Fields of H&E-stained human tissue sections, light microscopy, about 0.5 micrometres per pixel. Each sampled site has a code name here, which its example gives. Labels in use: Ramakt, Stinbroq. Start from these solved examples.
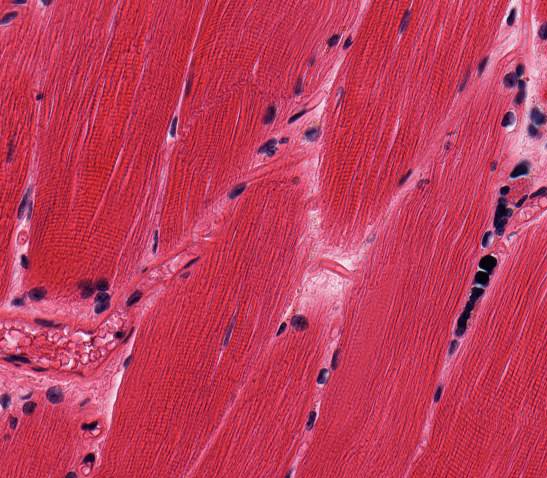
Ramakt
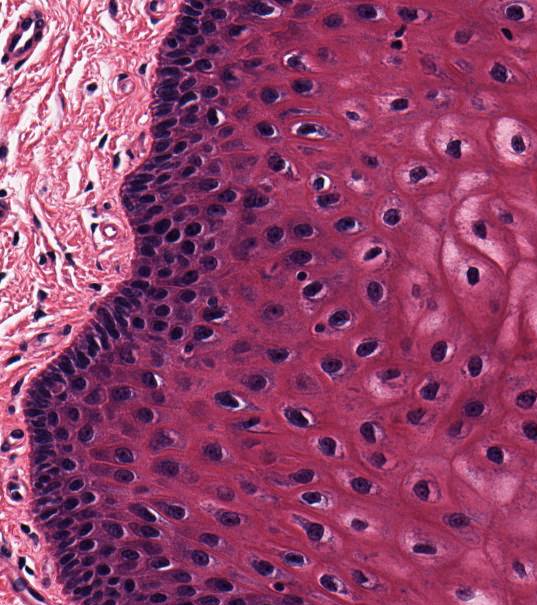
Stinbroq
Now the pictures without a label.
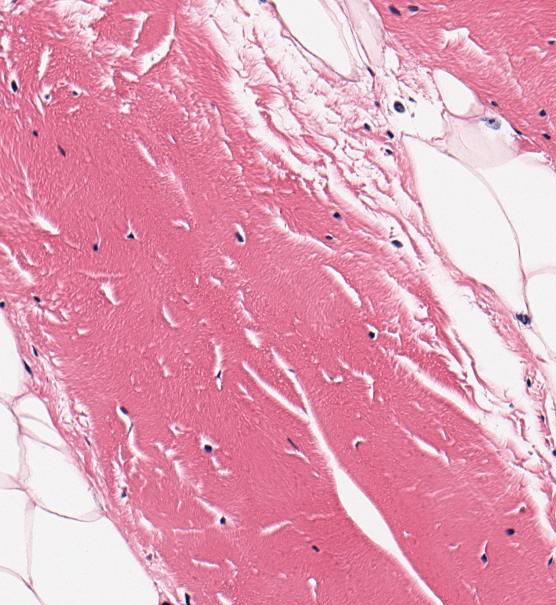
Ramakt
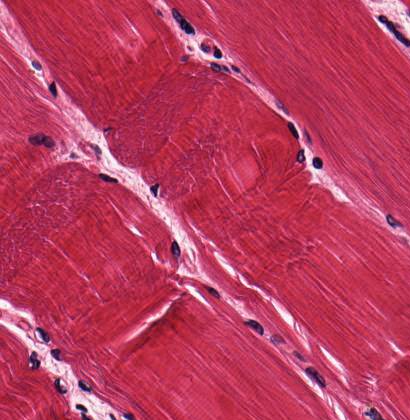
Ramakt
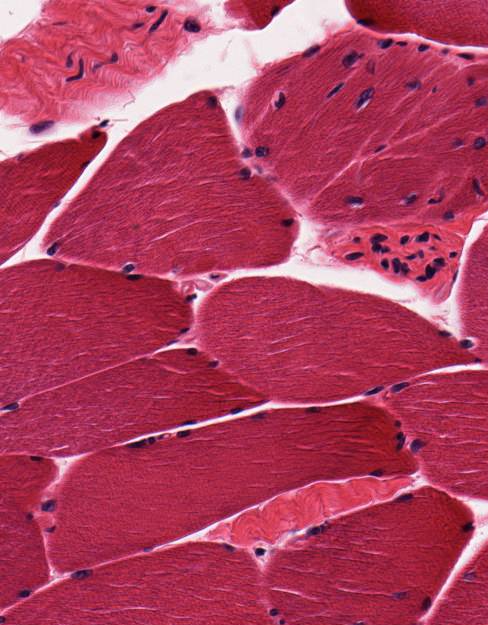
Ramakt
